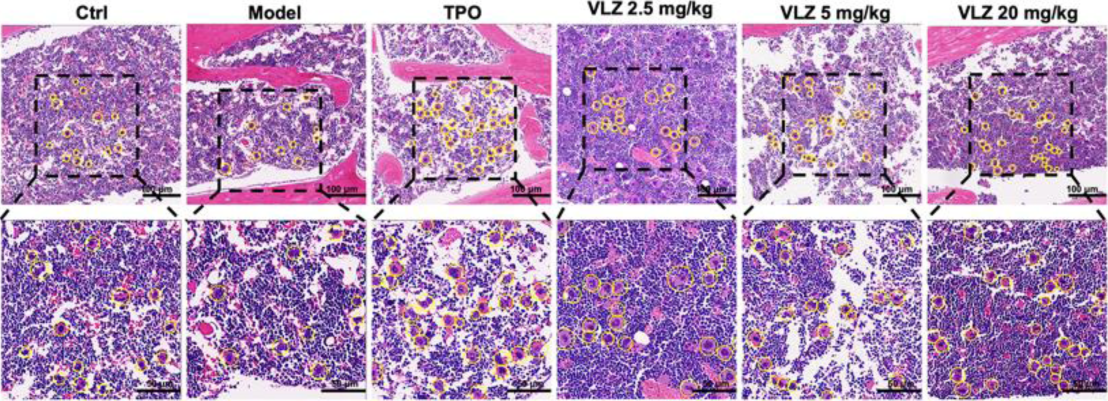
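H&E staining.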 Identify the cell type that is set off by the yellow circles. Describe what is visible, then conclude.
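The circled cells are much larger than the surrounding densely packed marrow cells. The circled cells have abundant pink cytoplasm with large dark purple nuclei. So: megakaryocytes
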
